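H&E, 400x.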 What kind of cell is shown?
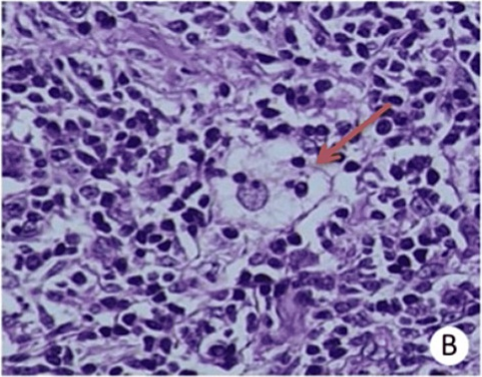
Large pale histiocytes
